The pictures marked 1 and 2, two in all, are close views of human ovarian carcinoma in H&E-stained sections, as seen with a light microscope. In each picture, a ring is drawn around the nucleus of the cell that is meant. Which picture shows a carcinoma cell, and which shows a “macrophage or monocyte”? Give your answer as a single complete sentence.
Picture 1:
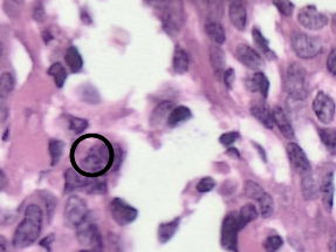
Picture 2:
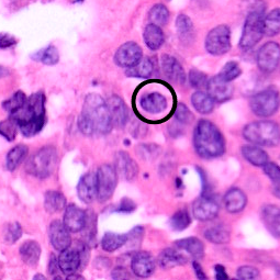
Picture 1 shows a carcinoma cell and picture 2 shows a “macrophage or monocyte”.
